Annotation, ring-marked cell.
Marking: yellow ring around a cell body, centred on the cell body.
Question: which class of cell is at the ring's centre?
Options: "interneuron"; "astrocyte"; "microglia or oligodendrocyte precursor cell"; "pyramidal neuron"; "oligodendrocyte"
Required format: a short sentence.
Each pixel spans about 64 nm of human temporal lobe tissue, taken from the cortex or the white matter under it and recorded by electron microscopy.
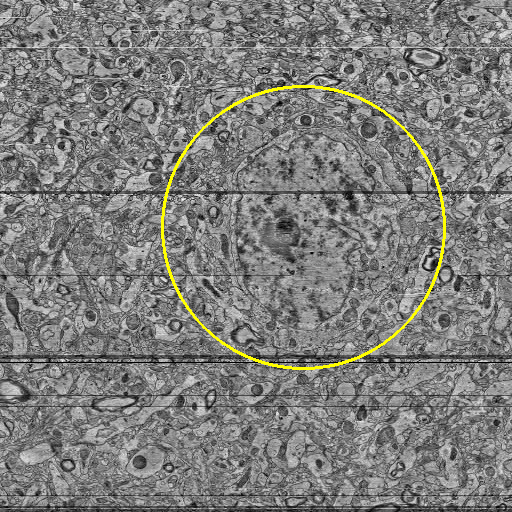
At the ring's centre is an interneuron.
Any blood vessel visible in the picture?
No, none appears.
